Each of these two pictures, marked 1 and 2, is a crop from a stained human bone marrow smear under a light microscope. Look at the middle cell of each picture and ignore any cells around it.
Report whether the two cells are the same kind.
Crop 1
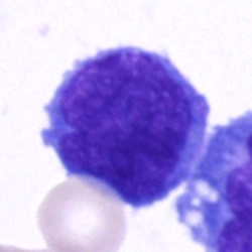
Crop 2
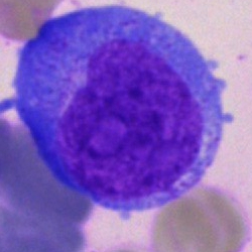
yes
